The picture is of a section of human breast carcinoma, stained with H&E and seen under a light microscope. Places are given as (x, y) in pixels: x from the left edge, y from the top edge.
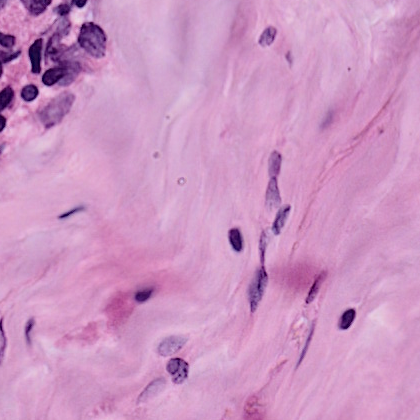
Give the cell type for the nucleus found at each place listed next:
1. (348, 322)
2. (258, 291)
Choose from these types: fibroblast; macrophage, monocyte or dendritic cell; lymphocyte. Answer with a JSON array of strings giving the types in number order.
["lymphocyte", "fibroblast"]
